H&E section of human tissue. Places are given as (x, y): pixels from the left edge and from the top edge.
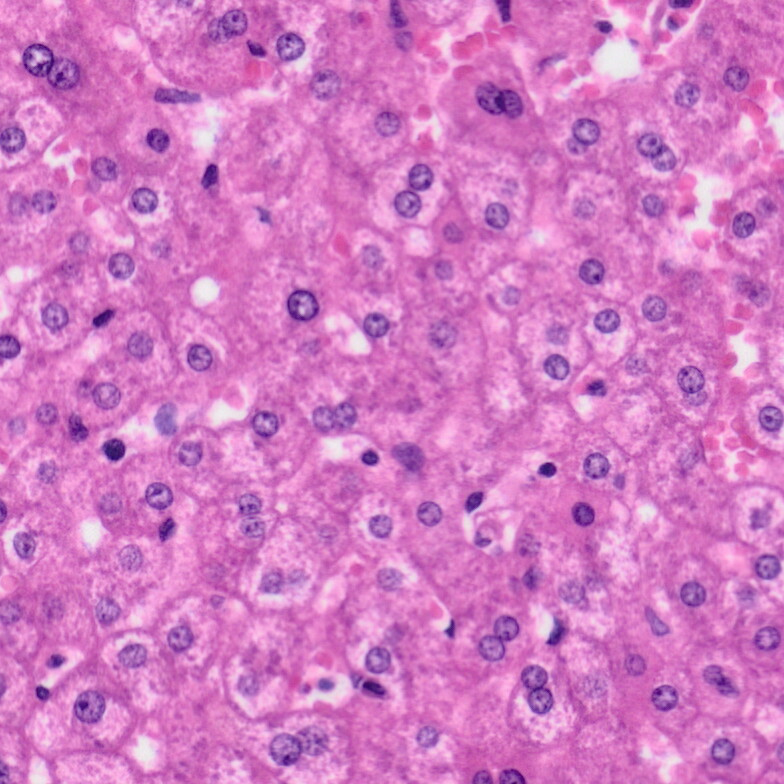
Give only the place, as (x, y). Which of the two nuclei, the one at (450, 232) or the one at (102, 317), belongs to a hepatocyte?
(450, 232)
